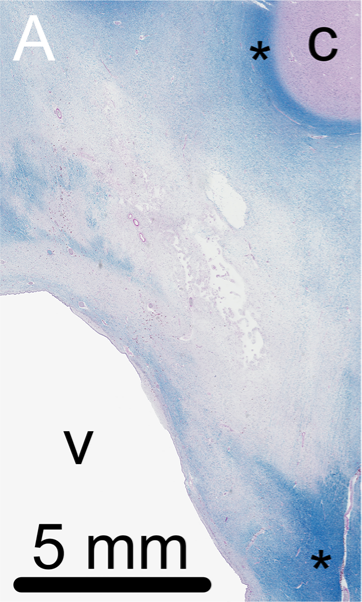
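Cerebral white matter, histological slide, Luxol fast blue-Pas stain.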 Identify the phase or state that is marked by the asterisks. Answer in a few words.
Normal myelination.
